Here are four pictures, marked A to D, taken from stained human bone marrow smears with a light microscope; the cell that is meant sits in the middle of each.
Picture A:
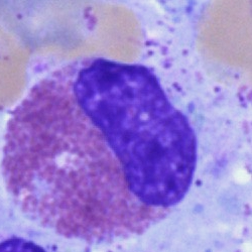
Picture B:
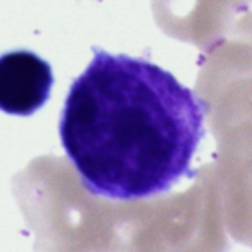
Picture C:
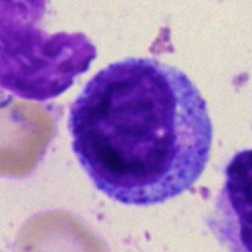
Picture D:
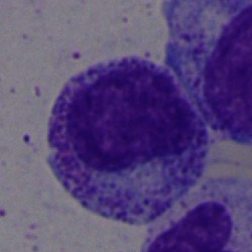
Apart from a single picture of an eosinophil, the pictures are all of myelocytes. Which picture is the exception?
A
